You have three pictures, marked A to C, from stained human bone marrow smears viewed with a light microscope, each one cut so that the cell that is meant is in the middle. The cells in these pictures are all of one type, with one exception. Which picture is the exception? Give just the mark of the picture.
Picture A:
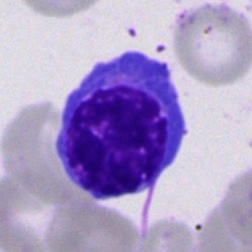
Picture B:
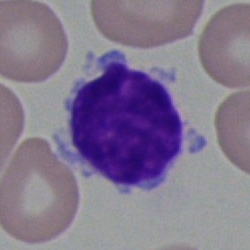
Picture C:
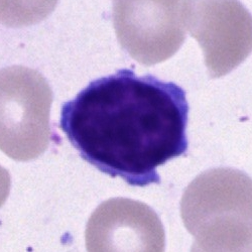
A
